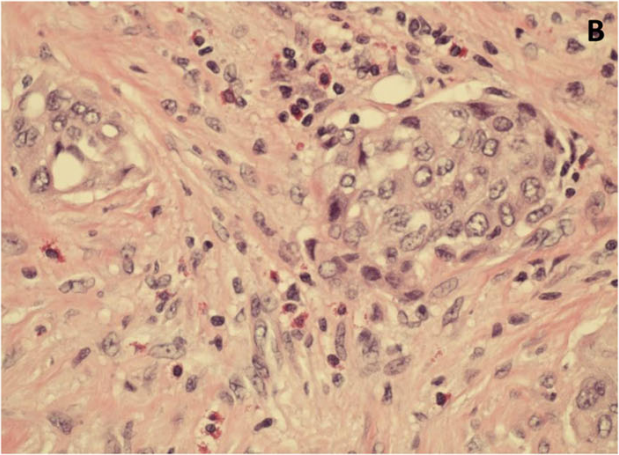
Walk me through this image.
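This high-power view shows nests of squamoid tumour cells lying in a fibrous stroma crowded with eosinophils. The tumour cells are large and polygonal, with ample pale-pink cytoplasm and large oval vesicular nuclei bearing distinct nucleoli. They cluster in cohesive groups, some of which hold small clear spaces. Around the nests lies pink collagenous stroma with scattered spindle-shaped nuclei. Many small inflammatory cells with bright red-orange granular cytoplasm and dark lobed nuclei are strewn through the stroma beside the nests.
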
